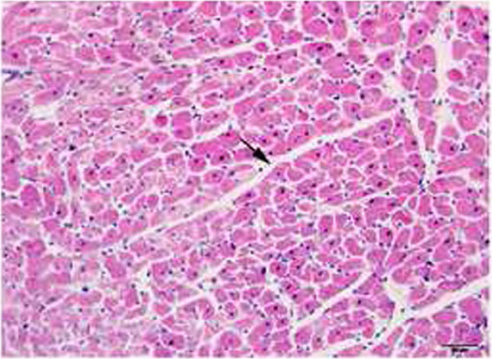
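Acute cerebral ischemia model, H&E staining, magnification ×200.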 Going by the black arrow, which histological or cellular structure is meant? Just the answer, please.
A: Gaps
